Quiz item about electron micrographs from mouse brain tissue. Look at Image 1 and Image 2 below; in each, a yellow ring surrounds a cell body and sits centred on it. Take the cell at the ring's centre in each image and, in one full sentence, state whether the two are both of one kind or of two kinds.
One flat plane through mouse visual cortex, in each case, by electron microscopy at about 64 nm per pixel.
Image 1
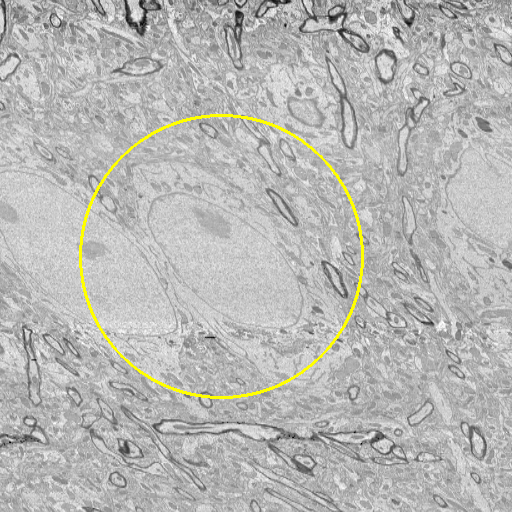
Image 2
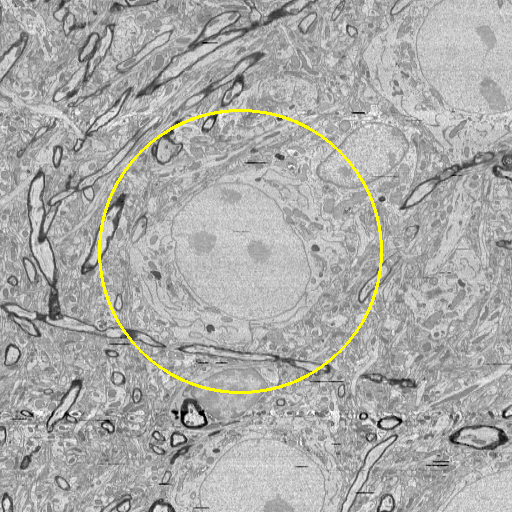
In Image 1 and Image 2, the cells at the ring centres are both of one kind.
